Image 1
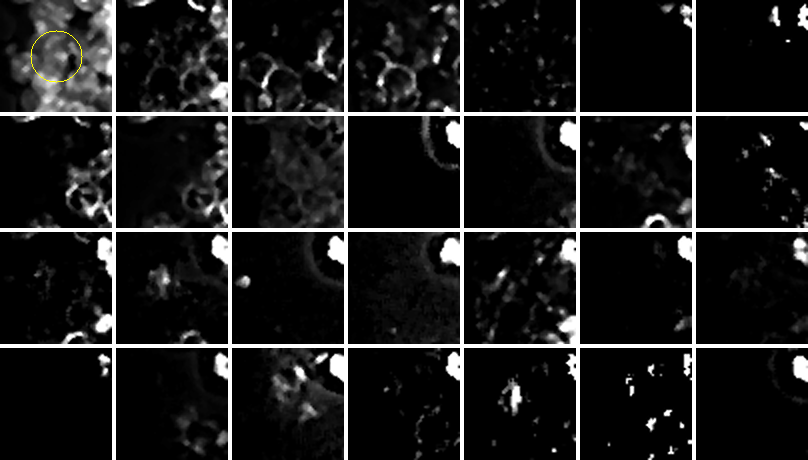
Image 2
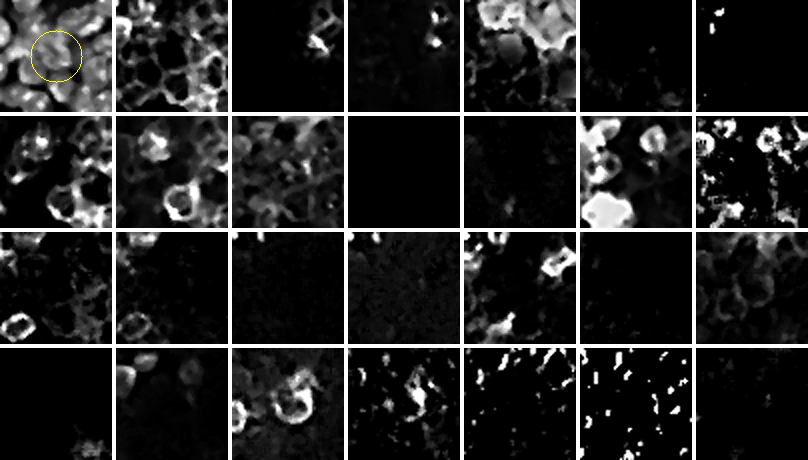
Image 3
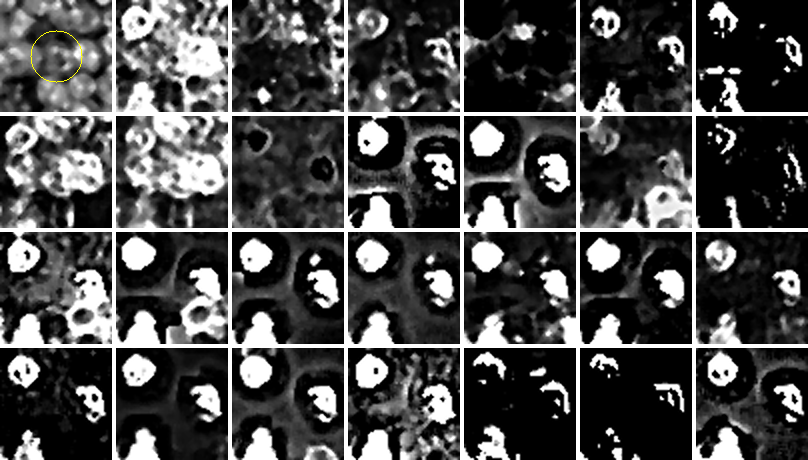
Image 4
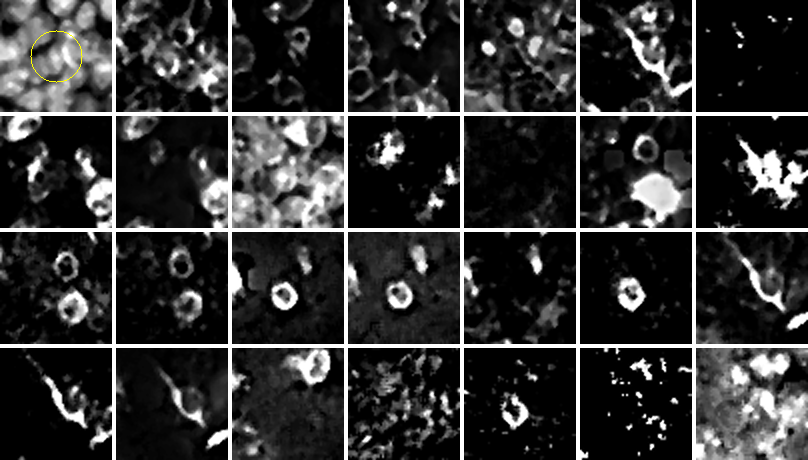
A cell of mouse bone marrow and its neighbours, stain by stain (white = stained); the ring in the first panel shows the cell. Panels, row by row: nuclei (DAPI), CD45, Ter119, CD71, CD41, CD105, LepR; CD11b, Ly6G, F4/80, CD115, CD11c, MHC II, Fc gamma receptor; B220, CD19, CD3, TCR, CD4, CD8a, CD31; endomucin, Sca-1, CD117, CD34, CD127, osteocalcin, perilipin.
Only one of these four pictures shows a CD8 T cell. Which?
Picture 4.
